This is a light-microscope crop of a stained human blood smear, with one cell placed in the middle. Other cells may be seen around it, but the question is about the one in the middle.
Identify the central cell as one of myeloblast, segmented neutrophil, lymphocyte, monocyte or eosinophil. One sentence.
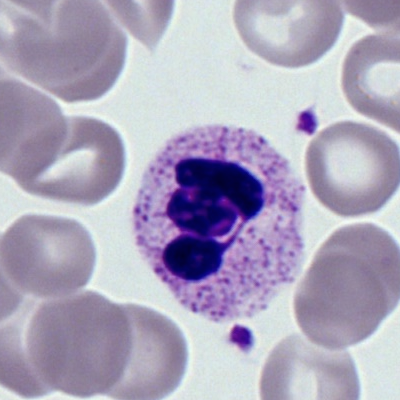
The cell shown in the center of this light-microscope crop is a segmented neutrophil.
